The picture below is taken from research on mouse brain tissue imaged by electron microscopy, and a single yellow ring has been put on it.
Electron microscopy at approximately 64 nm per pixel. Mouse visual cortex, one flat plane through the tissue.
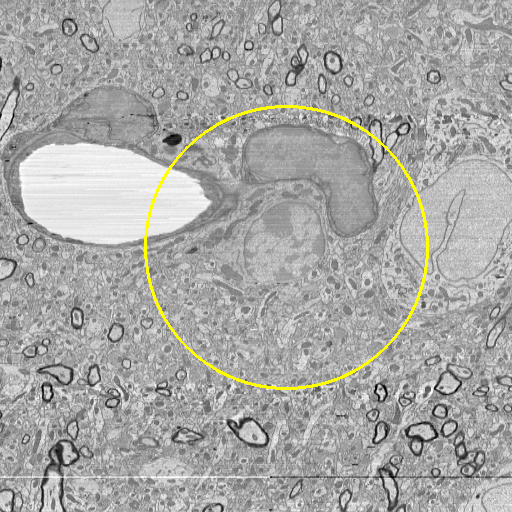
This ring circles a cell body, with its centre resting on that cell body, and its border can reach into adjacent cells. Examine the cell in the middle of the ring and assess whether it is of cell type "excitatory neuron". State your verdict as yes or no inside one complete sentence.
No, in the picture, the cell lying at the centre of the ring is of a different type.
